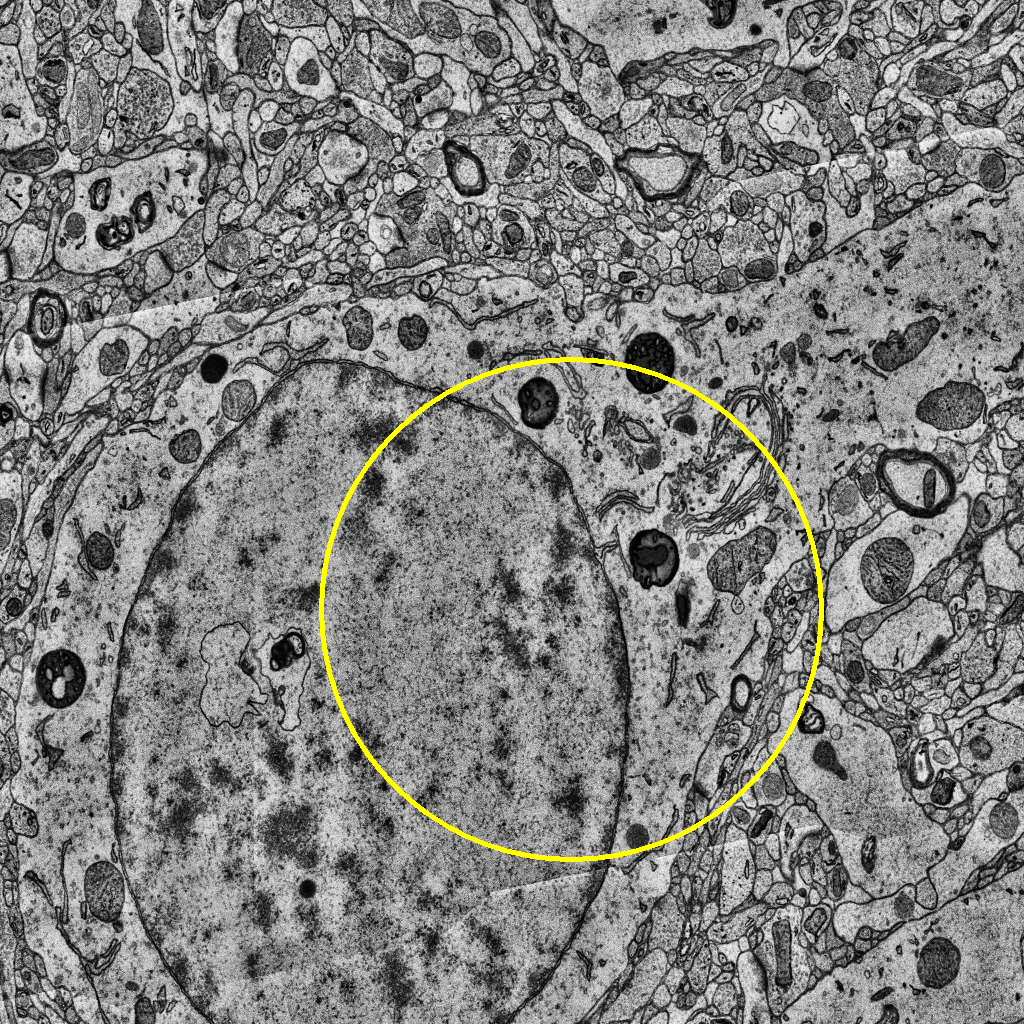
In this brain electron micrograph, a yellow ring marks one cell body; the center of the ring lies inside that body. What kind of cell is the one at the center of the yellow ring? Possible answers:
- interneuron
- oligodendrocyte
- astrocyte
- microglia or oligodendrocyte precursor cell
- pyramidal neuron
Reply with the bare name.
pyramidal neuron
